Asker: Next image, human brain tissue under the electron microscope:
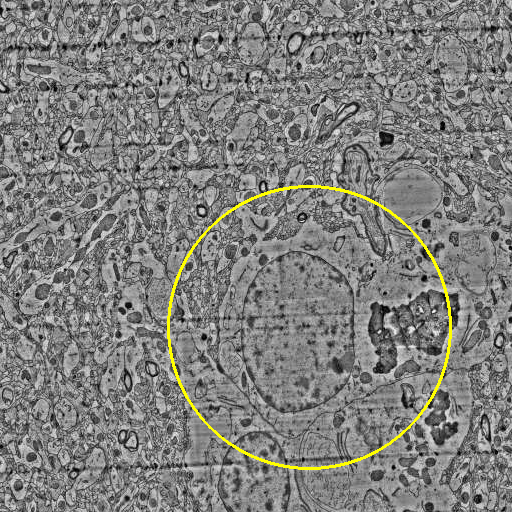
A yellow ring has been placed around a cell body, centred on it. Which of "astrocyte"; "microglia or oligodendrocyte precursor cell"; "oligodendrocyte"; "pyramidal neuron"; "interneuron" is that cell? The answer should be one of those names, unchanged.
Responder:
astrocyte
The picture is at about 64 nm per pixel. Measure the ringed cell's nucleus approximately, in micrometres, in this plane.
Roughly 10 by 7 micrometres in this plane, for the nucleus of the ringed cell.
